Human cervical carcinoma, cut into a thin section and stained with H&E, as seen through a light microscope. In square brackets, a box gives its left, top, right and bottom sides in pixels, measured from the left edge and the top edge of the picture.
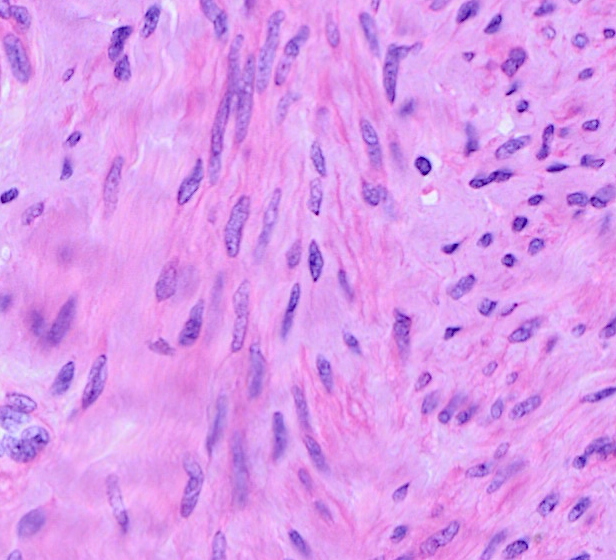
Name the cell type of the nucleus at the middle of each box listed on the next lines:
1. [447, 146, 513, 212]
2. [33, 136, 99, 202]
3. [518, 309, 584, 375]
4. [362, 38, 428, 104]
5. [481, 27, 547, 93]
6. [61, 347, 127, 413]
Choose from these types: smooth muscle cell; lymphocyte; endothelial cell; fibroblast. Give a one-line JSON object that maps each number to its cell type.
{"1": "fibroblast", "2": "fibroblast", "3": "smooth muscle cell", "4": "fibroblast", "5": "smooth muscle cell", "6": "fibroblast"}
